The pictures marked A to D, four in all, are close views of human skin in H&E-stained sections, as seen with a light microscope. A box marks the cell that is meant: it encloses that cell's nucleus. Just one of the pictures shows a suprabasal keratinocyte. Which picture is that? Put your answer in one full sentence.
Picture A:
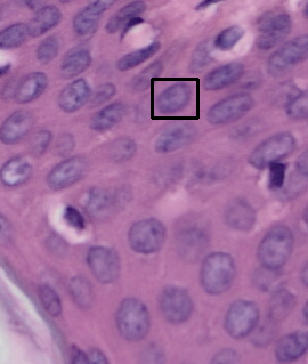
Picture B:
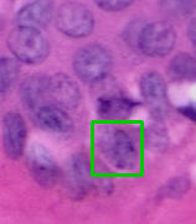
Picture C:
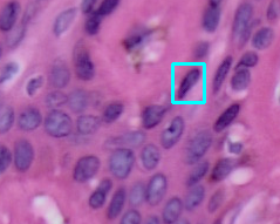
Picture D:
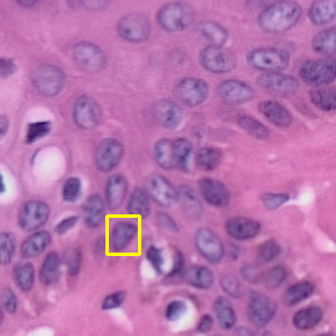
Picture A is the one that shows the suprabasal keratinocyte.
